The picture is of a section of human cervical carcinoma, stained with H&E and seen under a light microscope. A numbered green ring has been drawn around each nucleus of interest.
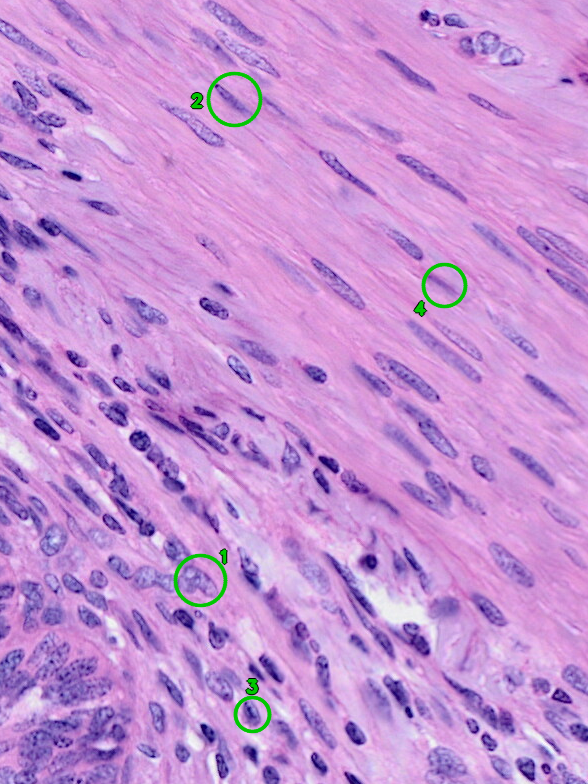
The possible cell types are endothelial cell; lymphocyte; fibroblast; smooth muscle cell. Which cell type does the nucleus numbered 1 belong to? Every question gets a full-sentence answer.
Among the marked nuclei, number 1 belongs to an endothelial cell.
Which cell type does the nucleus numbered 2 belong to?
The cell given label 2 is a fibroblast.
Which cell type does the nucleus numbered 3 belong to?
Classified as a lymphocyte is the cell with the number 3.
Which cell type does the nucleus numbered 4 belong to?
The cell marked with number 4 is a smooth muscle cell.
